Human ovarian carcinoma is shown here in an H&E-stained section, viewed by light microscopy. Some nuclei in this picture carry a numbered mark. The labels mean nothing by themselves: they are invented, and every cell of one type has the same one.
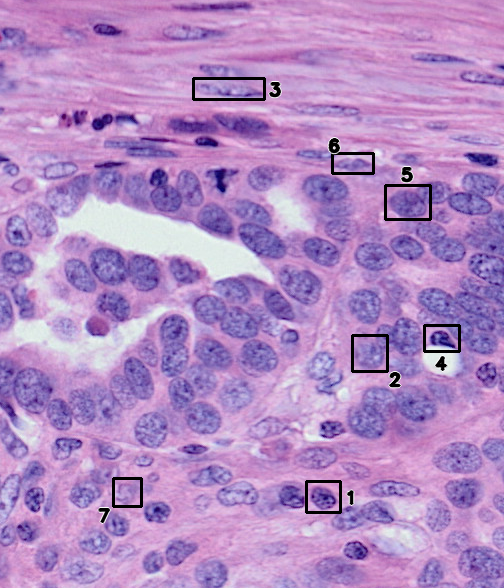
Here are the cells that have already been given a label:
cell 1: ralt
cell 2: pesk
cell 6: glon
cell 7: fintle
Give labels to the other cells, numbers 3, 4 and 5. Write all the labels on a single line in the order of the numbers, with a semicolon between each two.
glon; ralt; pesk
